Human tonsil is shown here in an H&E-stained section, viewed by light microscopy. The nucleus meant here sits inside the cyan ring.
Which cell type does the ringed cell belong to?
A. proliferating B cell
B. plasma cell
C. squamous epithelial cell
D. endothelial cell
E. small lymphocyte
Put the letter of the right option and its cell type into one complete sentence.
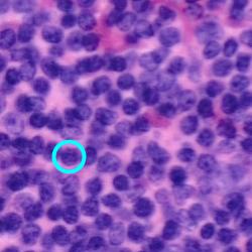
The right pick is option E; the ringed cell is a small lymphocyte.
